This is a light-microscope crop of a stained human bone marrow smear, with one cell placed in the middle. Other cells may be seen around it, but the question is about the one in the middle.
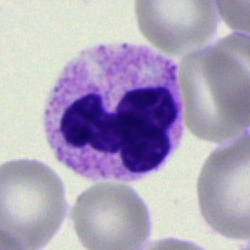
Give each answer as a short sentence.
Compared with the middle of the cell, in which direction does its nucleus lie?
It is shifted toward the lower right of the cell.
